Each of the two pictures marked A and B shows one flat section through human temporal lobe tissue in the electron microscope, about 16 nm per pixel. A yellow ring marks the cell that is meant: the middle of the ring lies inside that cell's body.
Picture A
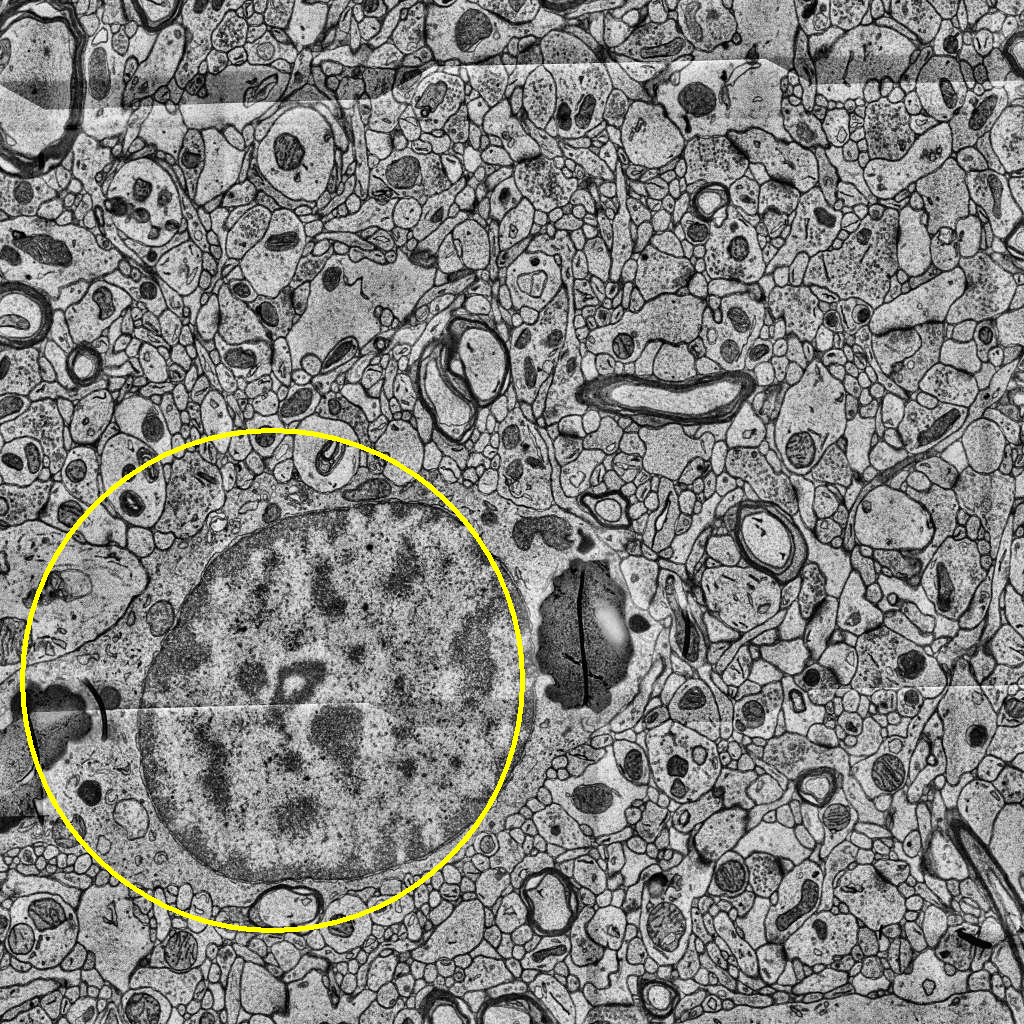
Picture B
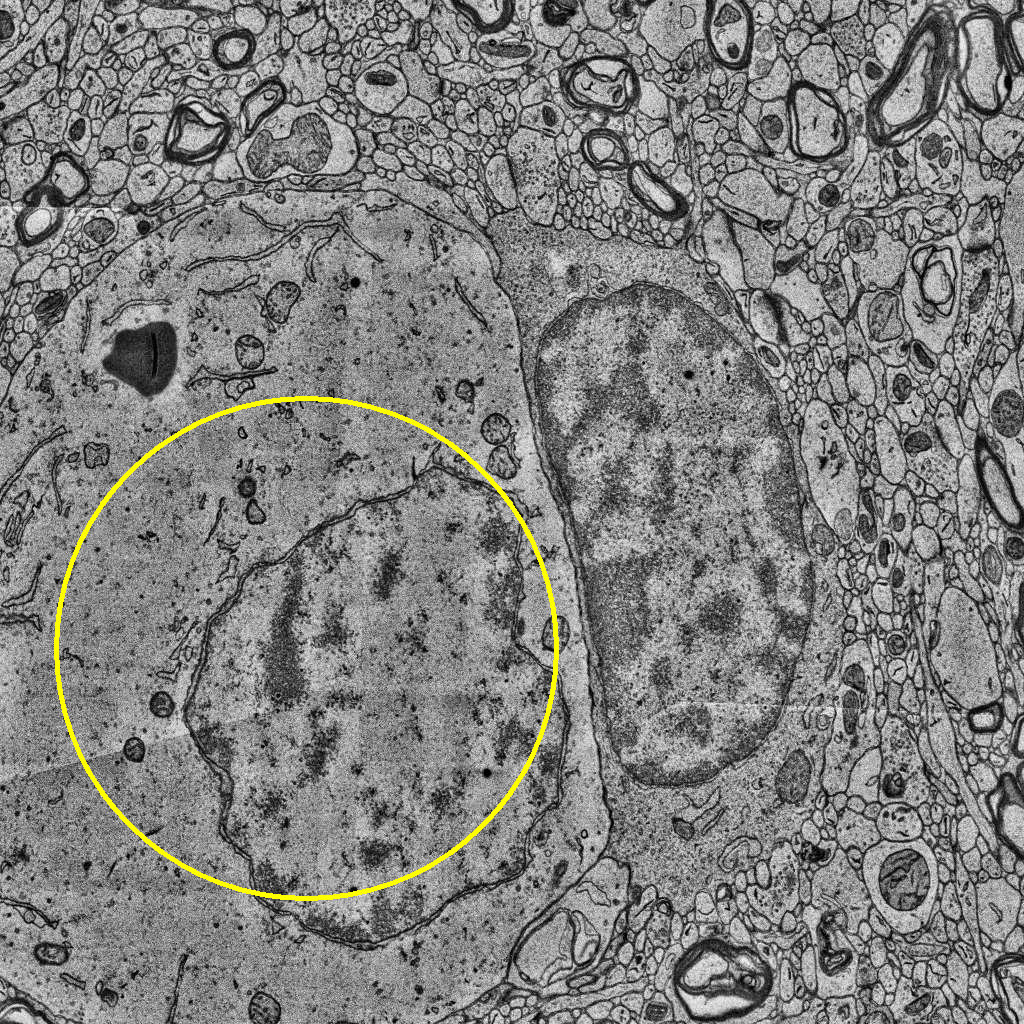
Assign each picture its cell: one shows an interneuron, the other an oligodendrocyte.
In picture A the cell is an oligodendrocyte; in picture B, an interneuron.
